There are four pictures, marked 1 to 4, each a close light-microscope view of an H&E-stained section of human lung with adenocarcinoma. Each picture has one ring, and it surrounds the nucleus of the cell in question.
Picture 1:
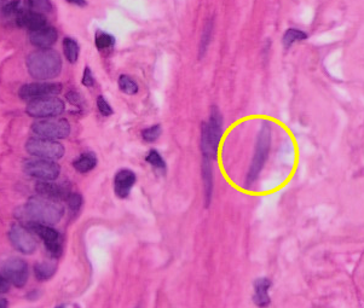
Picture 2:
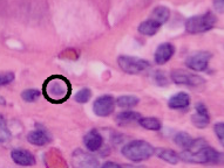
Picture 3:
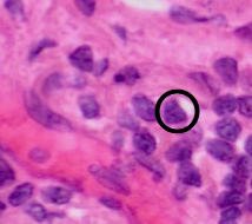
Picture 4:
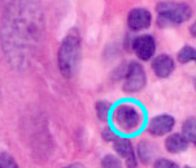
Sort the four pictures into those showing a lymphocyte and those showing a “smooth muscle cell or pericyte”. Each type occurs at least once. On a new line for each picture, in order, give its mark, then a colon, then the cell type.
1: smooth muscle cell or pericyte
2: lymphocyte
3: lymphocyte
4: lymphocyte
